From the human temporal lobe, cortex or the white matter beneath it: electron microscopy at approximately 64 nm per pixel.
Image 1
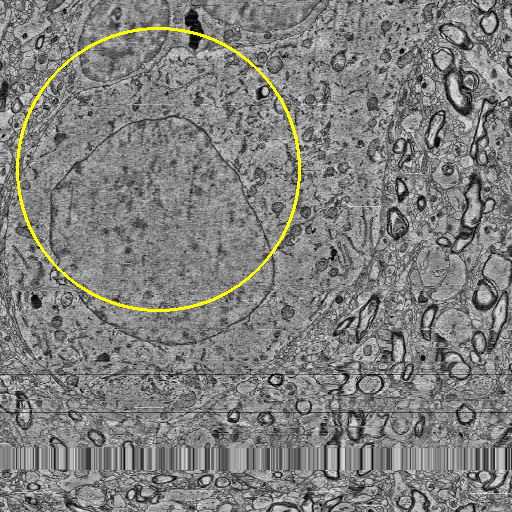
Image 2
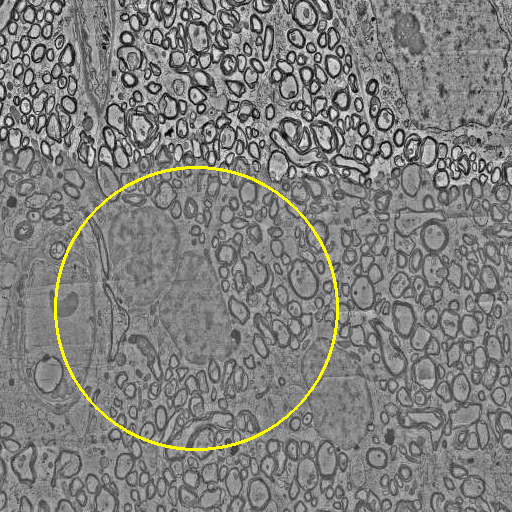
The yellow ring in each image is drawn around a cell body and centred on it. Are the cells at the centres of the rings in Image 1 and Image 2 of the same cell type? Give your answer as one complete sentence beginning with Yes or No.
No, the two cells are of two separate types.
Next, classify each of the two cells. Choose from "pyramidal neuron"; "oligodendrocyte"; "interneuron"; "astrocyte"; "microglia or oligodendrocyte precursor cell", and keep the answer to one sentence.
In the first picture it is a pyramidal neuron; in the second it is an oligodendrocyte.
